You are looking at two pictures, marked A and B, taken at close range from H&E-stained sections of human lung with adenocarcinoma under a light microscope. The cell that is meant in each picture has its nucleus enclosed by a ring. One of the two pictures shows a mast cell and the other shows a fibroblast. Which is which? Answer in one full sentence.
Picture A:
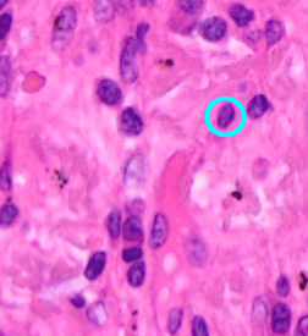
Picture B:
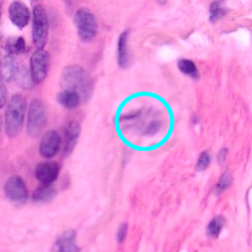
It is picture A that shows a mast cell, and picture B that shows a fibroblast.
